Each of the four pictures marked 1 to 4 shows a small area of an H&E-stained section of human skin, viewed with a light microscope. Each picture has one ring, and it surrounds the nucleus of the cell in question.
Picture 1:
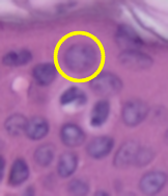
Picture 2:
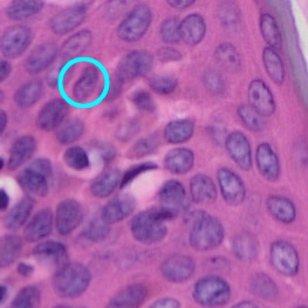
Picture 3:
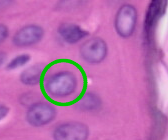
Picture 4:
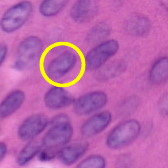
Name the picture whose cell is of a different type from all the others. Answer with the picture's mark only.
2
